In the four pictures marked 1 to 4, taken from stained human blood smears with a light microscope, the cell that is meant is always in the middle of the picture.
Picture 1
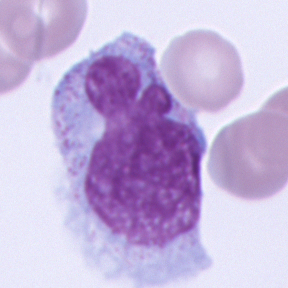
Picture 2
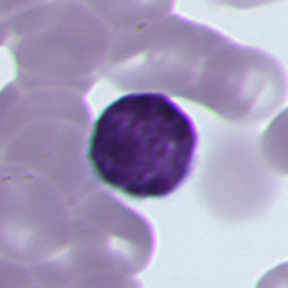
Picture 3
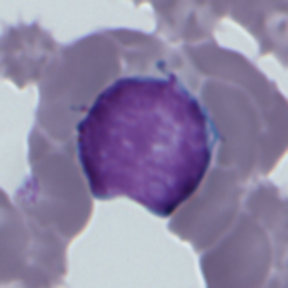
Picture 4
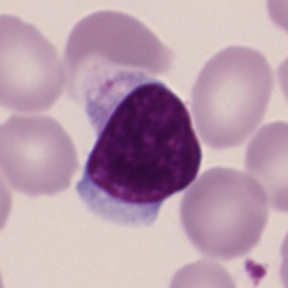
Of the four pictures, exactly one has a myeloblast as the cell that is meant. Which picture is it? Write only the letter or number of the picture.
1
